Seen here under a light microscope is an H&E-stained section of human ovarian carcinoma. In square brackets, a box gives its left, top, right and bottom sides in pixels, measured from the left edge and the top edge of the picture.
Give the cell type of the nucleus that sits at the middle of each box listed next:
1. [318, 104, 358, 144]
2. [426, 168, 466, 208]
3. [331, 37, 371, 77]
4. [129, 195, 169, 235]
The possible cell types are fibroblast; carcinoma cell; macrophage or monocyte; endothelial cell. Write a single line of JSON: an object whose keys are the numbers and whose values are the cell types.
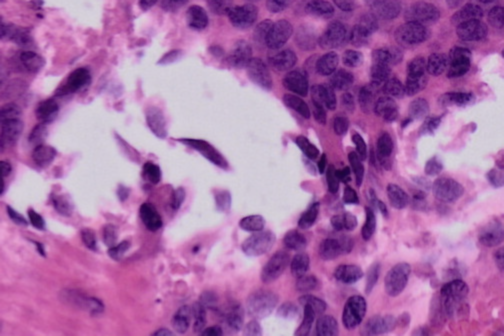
{"1": "carcinoma cell", "2": "carcinoma cell", "3": "macrophage or monocyte", "4": "carcinoma cell"}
